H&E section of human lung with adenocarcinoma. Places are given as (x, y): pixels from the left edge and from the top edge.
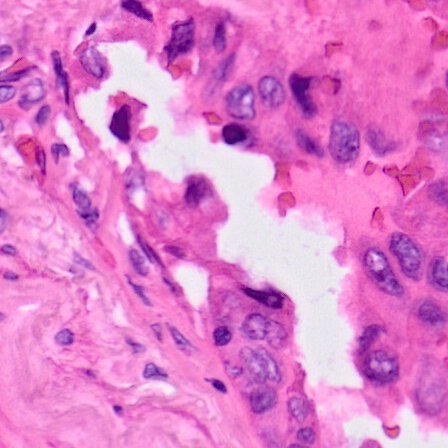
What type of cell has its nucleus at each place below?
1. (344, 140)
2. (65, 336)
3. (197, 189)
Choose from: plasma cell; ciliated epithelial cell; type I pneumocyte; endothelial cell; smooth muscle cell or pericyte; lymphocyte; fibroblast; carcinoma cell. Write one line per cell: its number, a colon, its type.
1: carcinoma cell
2: smooth muscle cell or pericyte
3: carcinoma cell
